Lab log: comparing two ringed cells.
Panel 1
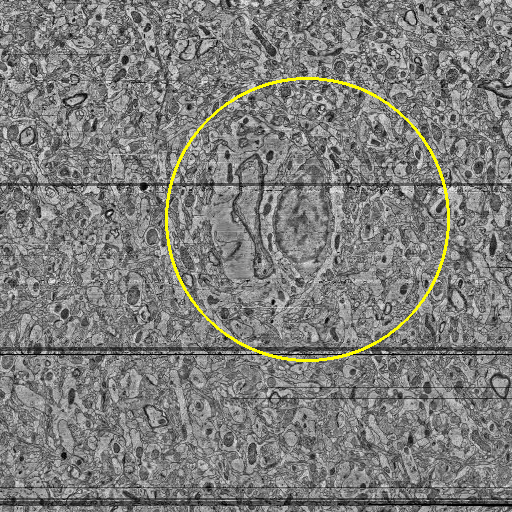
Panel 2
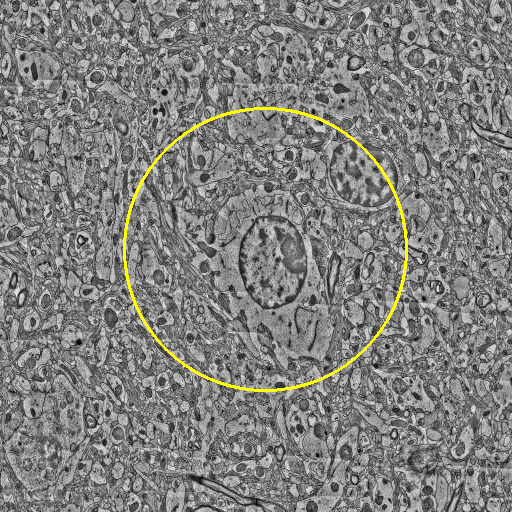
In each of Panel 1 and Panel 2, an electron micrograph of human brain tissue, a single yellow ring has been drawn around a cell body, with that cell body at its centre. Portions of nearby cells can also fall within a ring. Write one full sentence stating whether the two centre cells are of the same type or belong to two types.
The cells at the ring centres in Panel 1 and Panel 2 belong to two types.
